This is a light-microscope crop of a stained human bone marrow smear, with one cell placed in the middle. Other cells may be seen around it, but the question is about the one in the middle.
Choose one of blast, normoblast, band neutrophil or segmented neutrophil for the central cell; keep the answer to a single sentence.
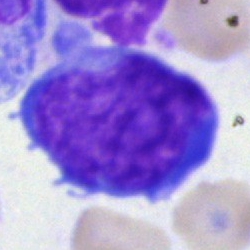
The cell under consideration, at the middle of the crop, is a blast.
